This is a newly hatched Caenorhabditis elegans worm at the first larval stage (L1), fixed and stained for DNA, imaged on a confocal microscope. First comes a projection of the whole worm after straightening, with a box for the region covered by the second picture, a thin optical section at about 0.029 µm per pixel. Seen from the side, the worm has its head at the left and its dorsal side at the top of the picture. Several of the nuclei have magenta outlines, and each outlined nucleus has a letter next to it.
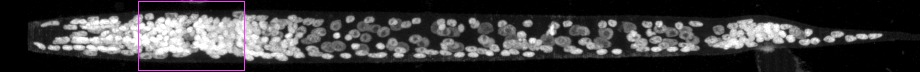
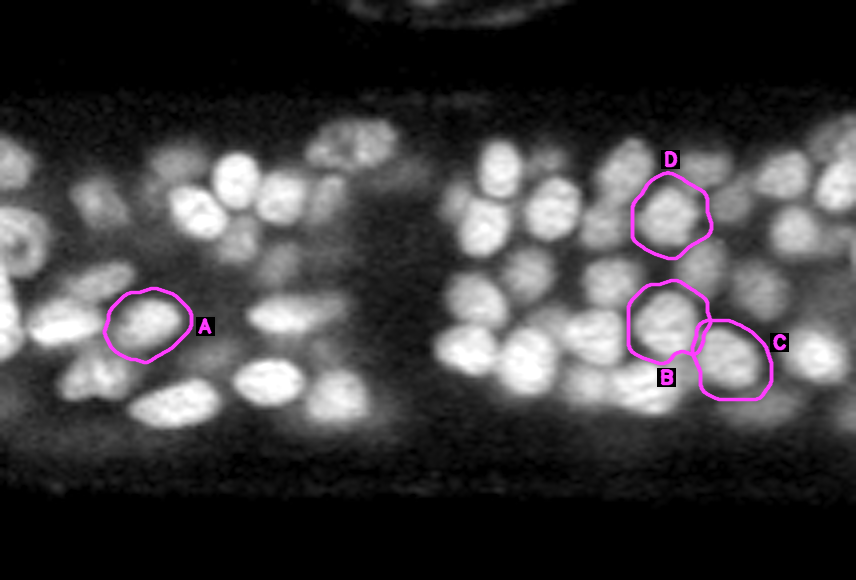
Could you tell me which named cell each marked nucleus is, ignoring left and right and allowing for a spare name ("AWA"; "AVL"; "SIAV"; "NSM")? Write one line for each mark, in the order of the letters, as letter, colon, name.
A: NSM
B: AVL
C: SIAV
D: AWA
